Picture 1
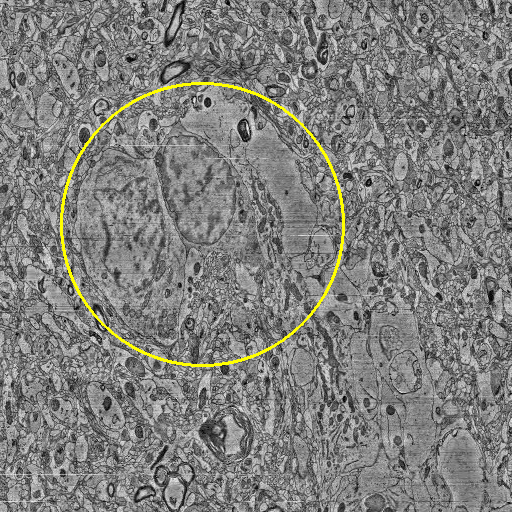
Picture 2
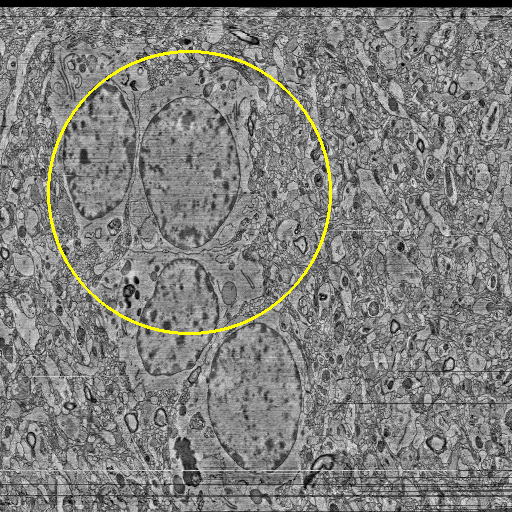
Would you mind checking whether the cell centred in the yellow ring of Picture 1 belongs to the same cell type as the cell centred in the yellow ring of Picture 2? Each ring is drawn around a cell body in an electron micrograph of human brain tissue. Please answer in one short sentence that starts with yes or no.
No, the two cells are of two types.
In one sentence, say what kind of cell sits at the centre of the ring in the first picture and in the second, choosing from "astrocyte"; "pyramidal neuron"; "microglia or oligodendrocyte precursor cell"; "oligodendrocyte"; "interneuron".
The first picture's ringed cell is an oligodendrocyte, while the second picture's is an astrocyte.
